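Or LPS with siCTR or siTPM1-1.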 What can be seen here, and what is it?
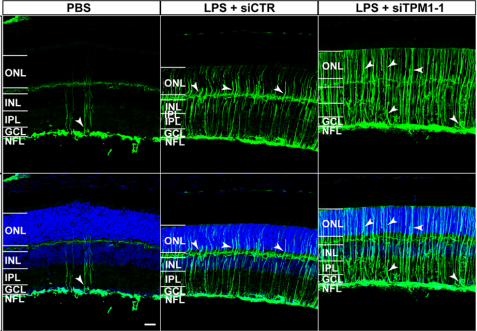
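Cross-sections of retina show astrocytes and Müller cells in green against layers of blue nuclei, the outer nuclear layer being the thickest band of densely packed nuclei. In the left column the green is mostly restricted to a bright band at the innermost layer, with only faint, few radial strands. In the middle and right columns many long green fibres run radially across the whole thickness of the retina, reaching into the outer nuclear layer, and are most dense and bright in the right column.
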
